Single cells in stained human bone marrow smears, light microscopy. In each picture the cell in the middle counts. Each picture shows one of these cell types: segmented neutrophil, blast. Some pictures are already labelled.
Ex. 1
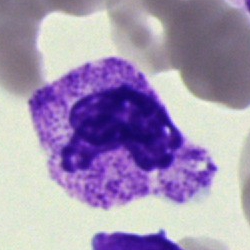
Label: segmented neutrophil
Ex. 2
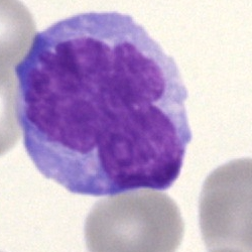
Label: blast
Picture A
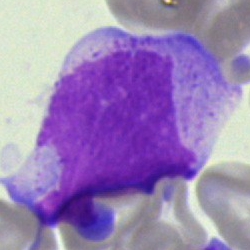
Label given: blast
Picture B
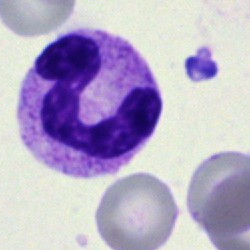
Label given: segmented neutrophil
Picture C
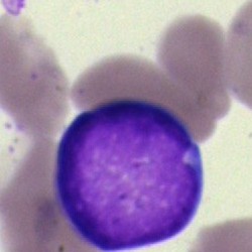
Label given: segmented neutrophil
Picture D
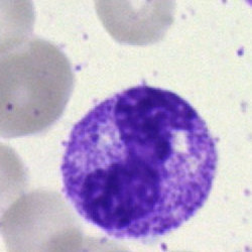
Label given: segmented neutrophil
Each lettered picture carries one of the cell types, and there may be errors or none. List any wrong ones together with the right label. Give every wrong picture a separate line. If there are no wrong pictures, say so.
C should be blast, not segmented neutrophil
